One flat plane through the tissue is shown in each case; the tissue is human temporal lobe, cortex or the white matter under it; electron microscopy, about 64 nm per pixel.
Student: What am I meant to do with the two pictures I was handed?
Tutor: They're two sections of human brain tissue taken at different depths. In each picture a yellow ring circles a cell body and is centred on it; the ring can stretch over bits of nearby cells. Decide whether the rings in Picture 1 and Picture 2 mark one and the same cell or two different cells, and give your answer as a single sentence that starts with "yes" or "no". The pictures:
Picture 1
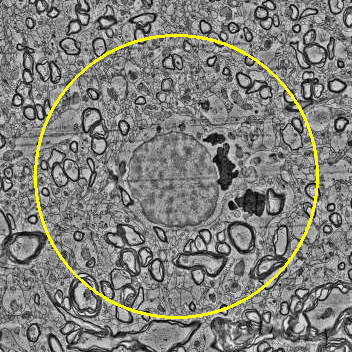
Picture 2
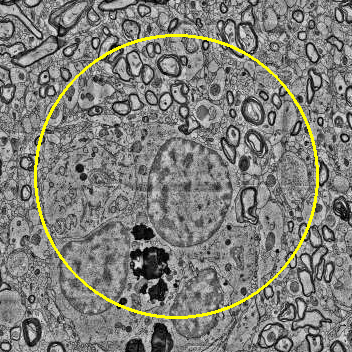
No, the rings surround different cells rather than one cell.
